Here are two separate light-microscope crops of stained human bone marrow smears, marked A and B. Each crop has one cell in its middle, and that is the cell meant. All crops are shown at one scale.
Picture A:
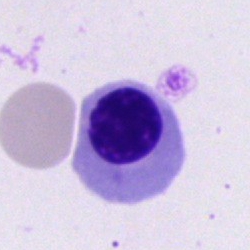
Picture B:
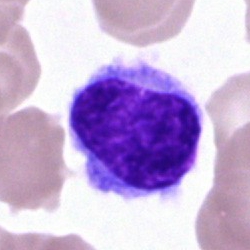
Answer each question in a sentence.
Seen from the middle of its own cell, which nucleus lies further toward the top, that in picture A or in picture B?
The nucleus in picture A lies further toward the top of its cell.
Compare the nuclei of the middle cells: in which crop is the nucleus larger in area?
The nucleus in picture B is larger, with about 2.5 times the area of the one in picture A.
